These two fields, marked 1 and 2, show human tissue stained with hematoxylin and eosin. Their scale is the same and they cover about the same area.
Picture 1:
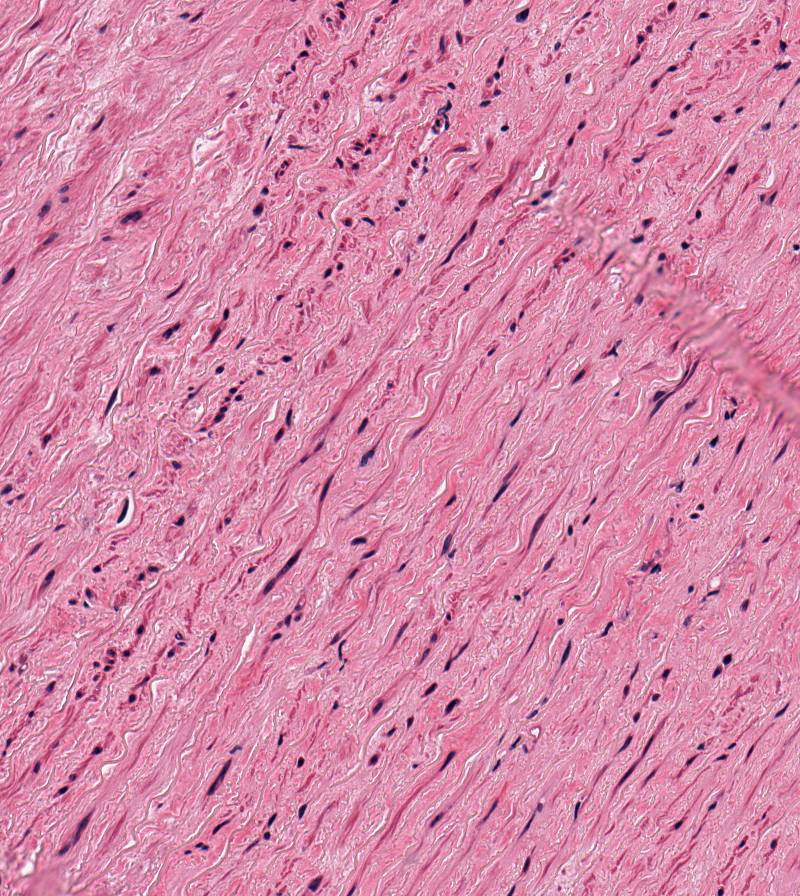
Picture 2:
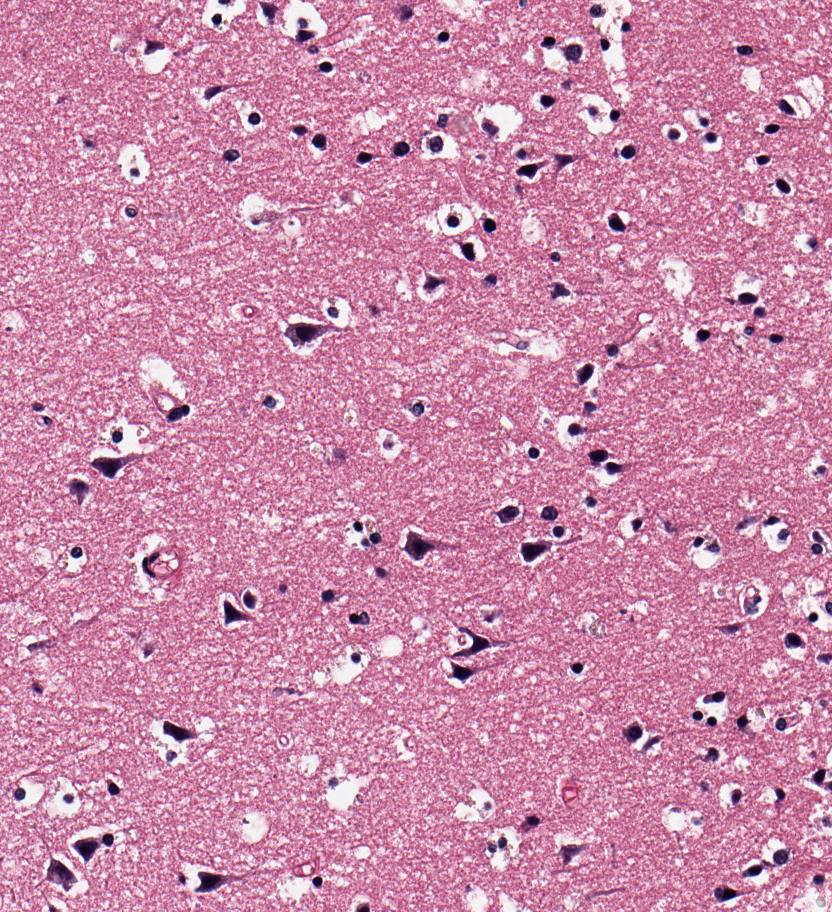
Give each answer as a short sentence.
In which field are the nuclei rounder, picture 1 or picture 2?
The nuclei are rounder in picture 2.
